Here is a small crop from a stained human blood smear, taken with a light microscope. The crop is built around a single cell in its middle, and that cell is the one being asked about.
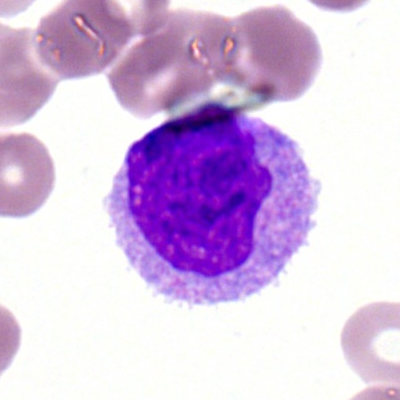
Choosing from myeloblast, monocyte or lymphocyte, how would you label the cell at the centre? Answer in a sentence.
The middle of this crop holds a monocyte.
